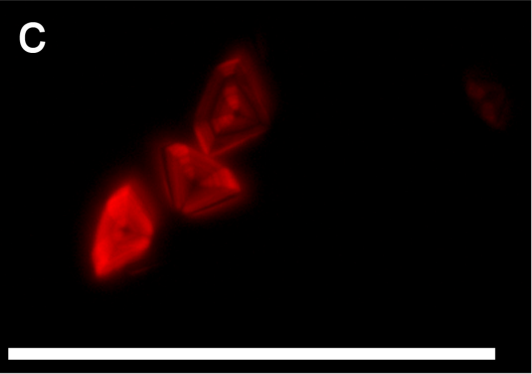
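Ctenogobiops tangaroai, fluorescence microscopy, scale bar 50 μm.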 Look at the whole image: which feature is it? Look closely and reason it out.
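Red fluorescent objects have angular, rhombic outlines. The answer: diamond form.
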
